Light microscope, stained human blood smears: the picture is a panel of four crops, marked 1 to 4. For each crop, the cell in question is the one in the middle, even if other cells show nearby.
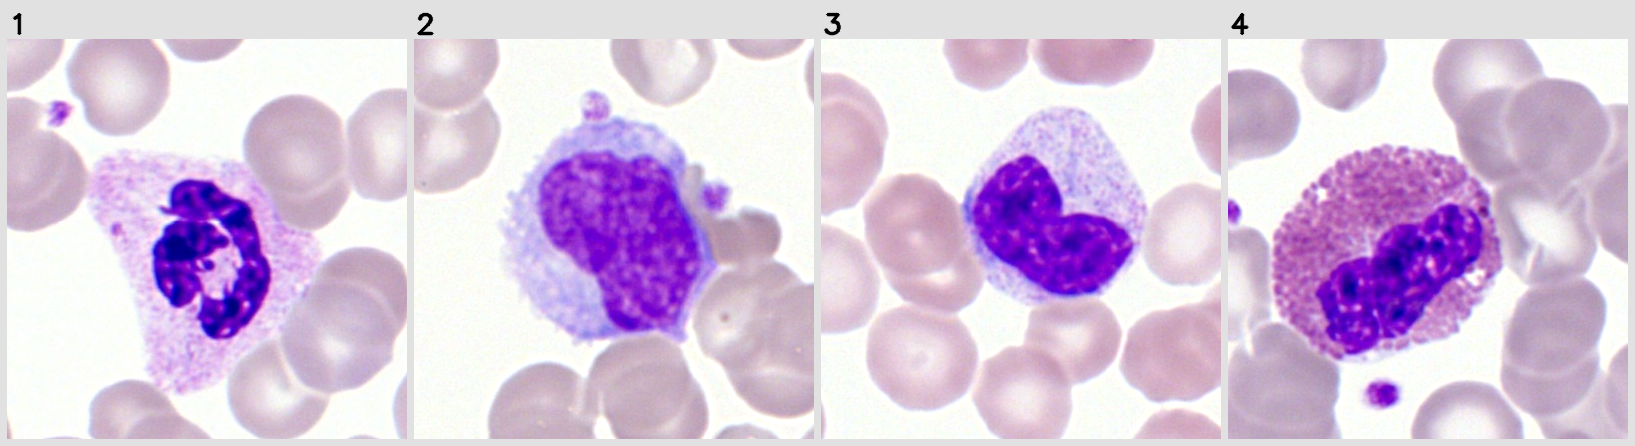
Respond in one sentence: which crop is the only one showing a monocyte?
Of these crops, it is crop 2 that shows a monocyte.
